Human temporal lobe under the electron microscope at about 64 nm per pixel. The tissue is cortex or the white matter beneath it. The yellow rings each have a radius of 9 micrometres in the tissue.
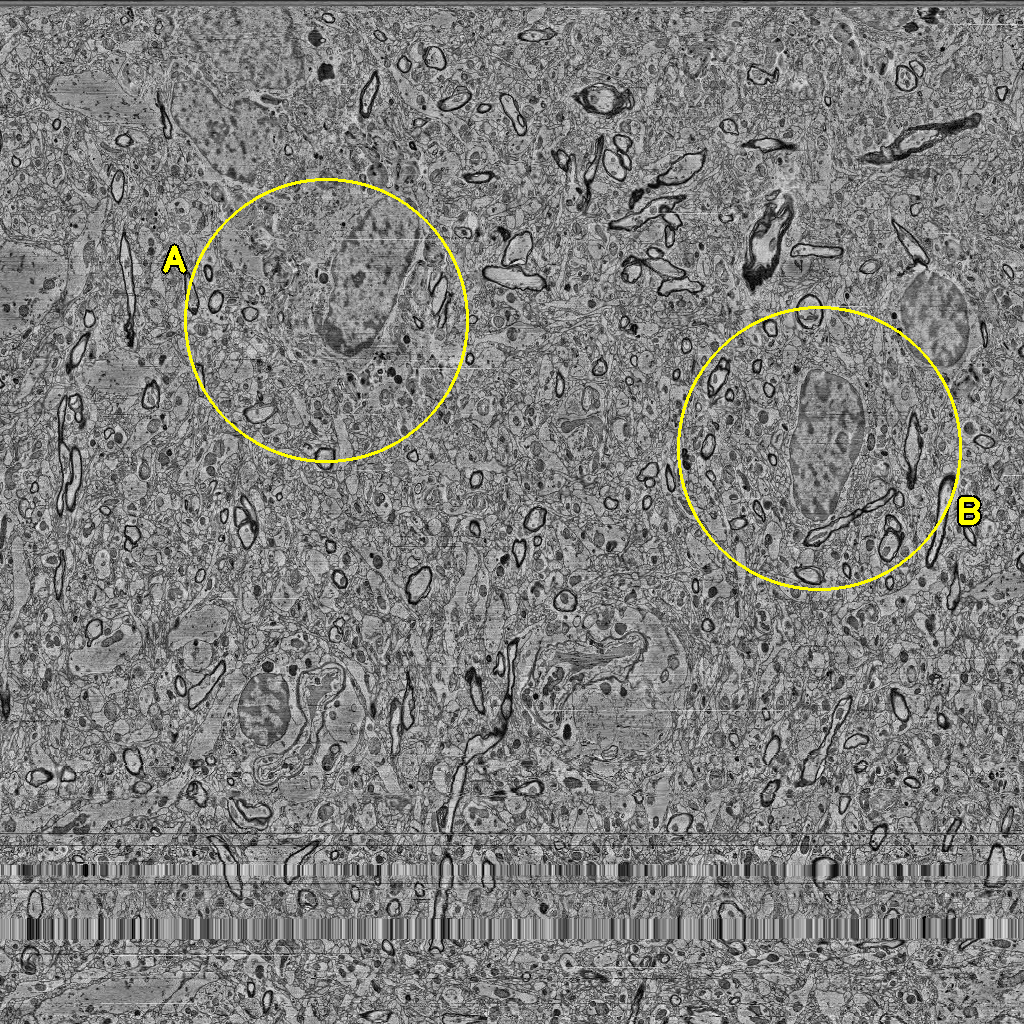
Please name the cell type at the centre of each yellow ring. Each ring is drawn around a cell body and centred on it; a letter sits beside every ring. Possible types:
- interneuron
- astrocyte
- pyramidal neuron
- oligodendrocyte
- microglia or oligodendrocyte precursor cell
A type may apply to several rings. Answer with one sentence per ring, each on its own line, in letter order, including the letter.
Ring A is centred on the cell body of a microglial cell or oligodendrocyte precursor cell.
Ring B is centred on the cell body of a microglial cell or oligodendrocyte precursor cell.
